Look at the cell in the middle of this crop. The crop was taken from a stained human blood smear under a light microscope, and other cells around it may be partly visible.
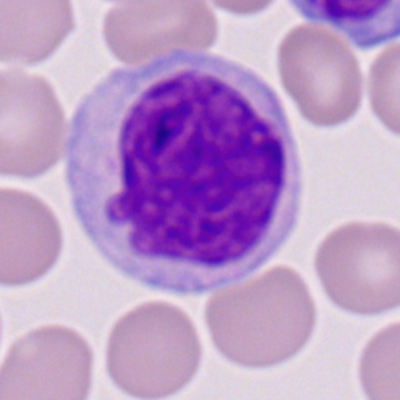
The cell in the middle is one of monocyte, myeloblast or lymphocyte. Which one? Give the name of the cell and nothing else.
monocyte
